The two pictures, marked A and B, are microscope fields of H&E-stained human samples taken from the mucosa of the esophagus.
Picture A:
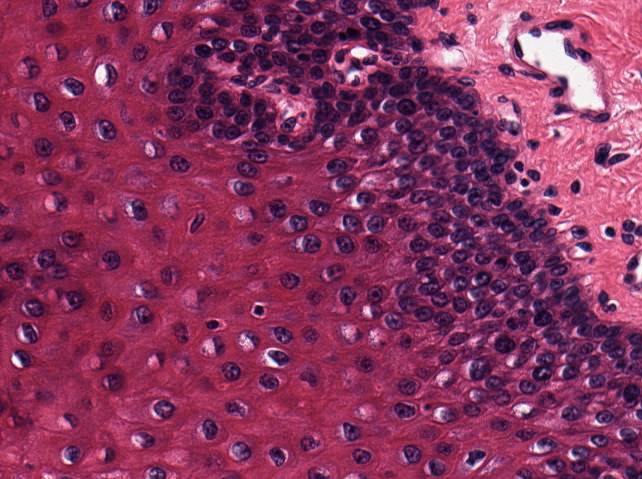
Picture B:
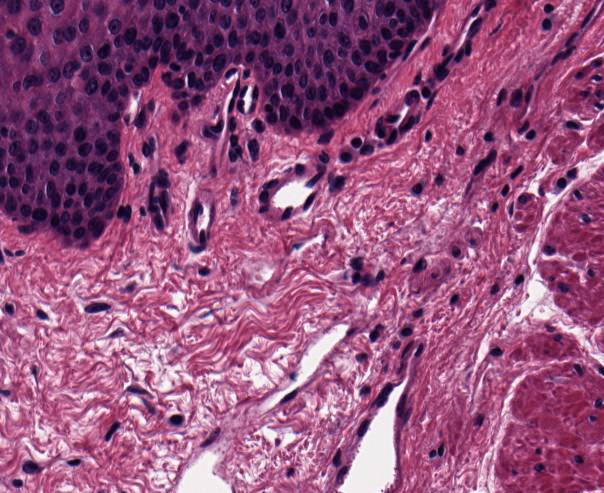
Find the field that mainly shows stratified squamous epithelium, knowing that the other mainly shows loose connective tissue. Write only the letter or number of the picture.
A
